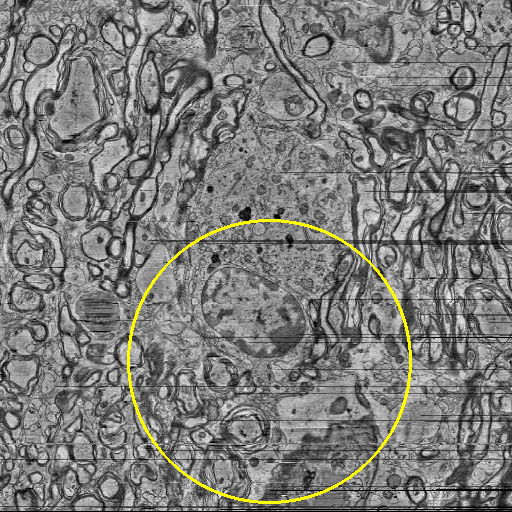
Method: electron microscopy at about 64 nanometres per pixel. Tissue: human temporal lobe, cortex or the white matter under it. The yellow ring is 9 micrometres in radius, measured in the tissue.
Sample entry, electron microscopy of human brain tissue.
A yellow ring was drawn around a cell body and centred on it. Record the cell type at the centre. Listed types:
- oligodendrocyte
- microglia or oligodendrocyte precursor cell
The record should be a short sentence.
The cell at the ring's centre is a microglial cell or oligodendrocyte precursor cell.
